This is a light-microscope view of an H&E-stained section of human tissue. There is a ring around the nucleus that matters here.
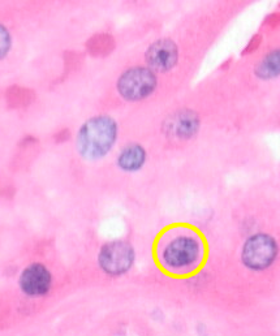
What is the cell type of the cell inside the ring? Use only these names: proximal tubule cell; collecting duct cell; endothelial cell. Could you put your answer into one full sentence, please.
Labelled by cell type, the cell inside the ring is a proximal tubule cell.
